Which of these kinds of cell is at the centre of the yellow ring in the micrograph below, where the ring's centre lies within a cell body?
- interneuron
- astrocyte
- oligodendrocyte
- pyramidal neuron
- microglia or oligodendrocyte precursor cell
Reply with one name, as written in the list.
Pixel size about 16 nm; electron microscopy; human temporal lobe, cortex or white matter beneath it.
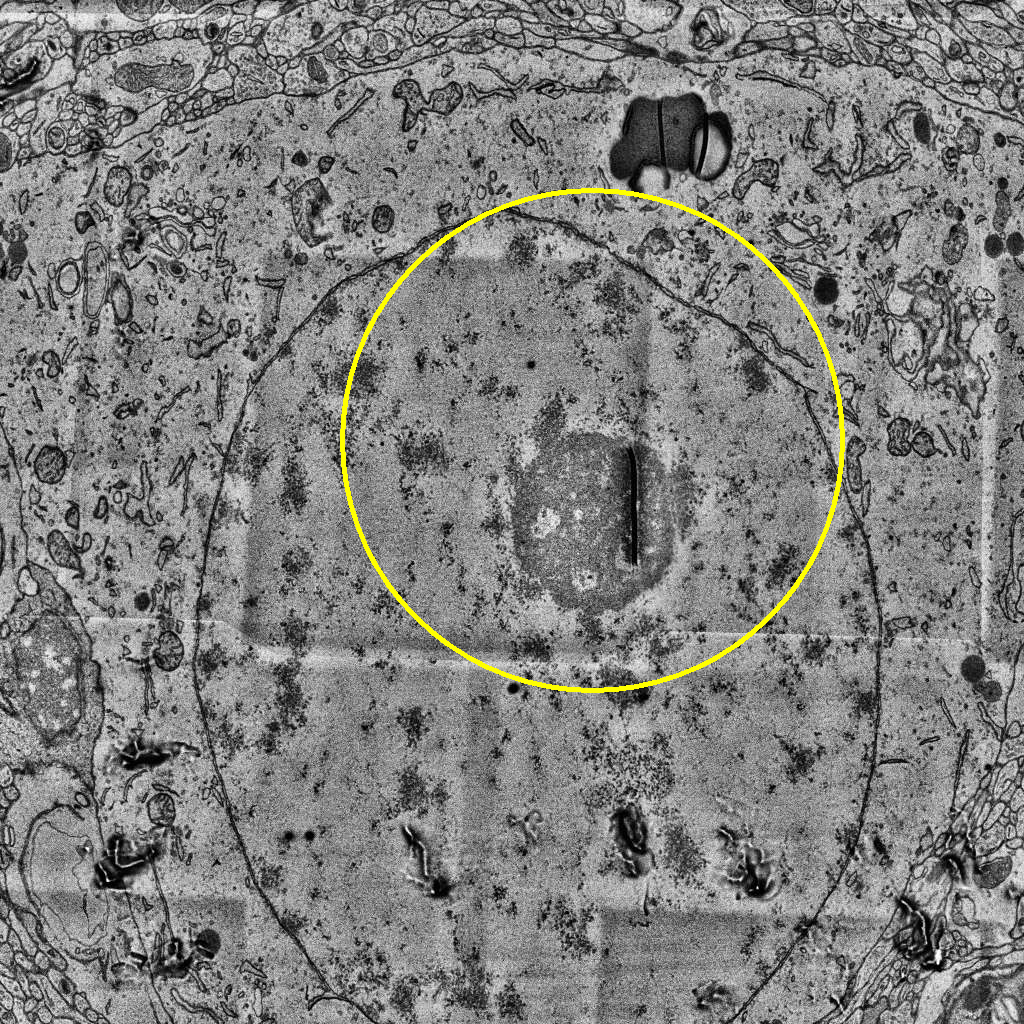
pyramidal neuron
